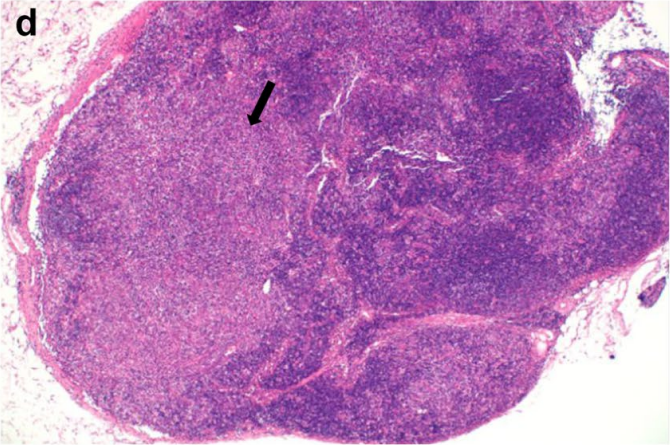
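This lymph node contains a discrete area of necrosis, seen as a paler pink, less cellular zone that stands out from the dense blue lymphoid tissue. Around it the node is filled by darkly cellular lymphoid tissue, the expanded paracortex, within a thin capsule.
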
